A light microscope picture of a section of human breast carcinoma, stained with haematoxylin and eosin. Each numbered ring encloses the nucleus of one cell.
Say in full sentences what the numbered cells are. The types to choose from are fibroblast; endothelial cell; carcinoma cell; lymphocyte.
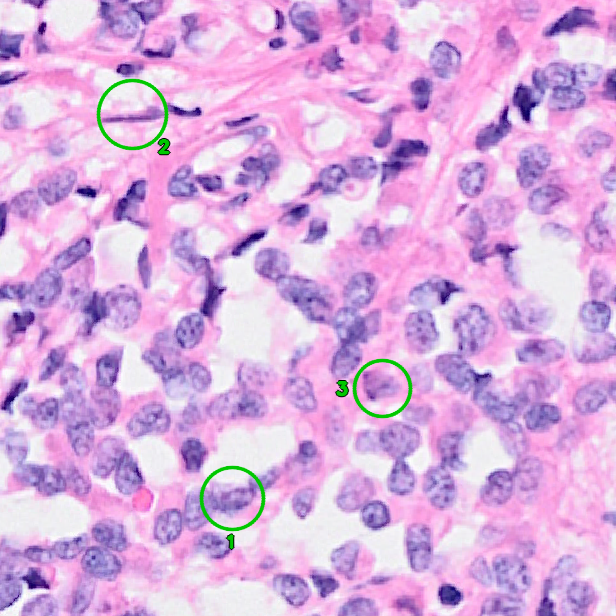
Cells 1 and 3 are carcinoma cells. Cell 2 is a fibroblast.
